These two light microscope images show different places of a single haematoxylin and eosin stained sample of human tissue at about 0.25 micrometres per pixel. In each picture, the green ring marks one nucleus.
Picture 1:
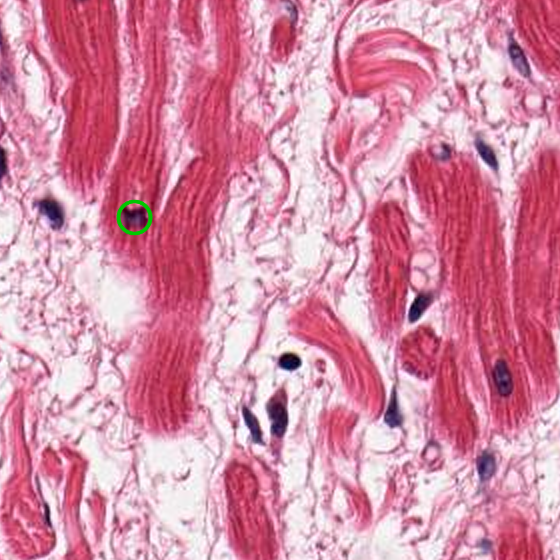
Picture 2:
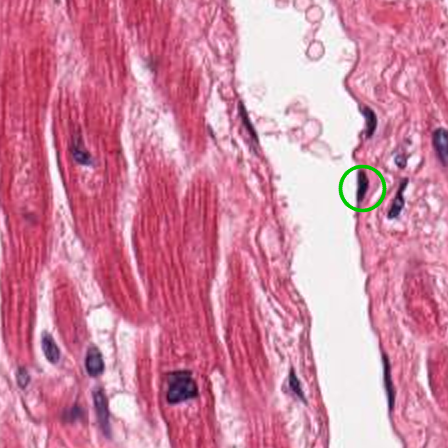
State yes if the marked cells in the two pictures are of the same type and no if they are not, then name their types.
No, the first is a cardiomyocyte and the second an endothelial cell.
